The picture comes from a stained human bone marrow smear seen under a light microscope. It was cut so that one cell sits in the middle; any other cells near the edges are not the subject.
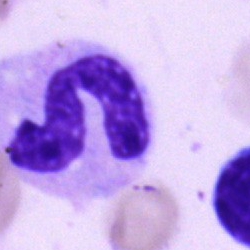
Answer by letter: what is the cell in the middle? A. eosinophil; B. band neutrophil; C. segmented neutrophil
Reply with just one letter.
C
